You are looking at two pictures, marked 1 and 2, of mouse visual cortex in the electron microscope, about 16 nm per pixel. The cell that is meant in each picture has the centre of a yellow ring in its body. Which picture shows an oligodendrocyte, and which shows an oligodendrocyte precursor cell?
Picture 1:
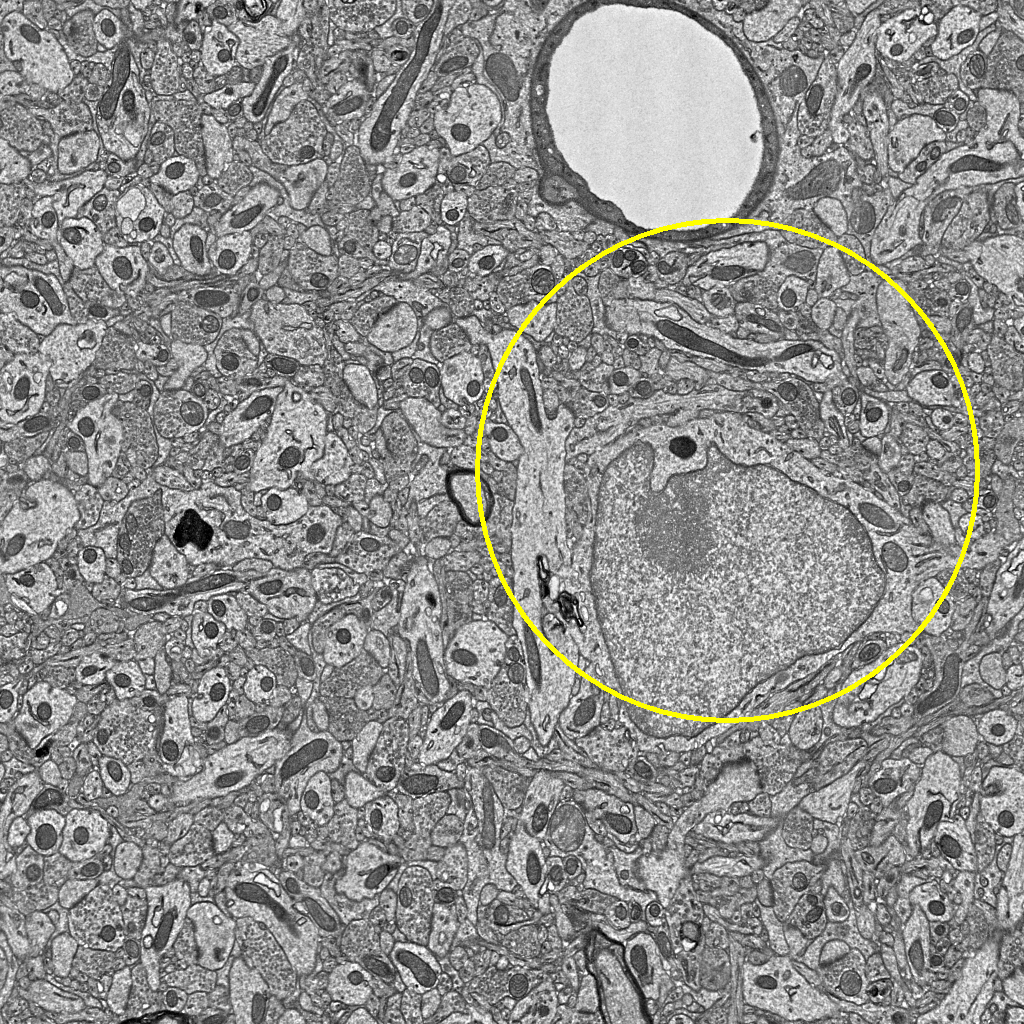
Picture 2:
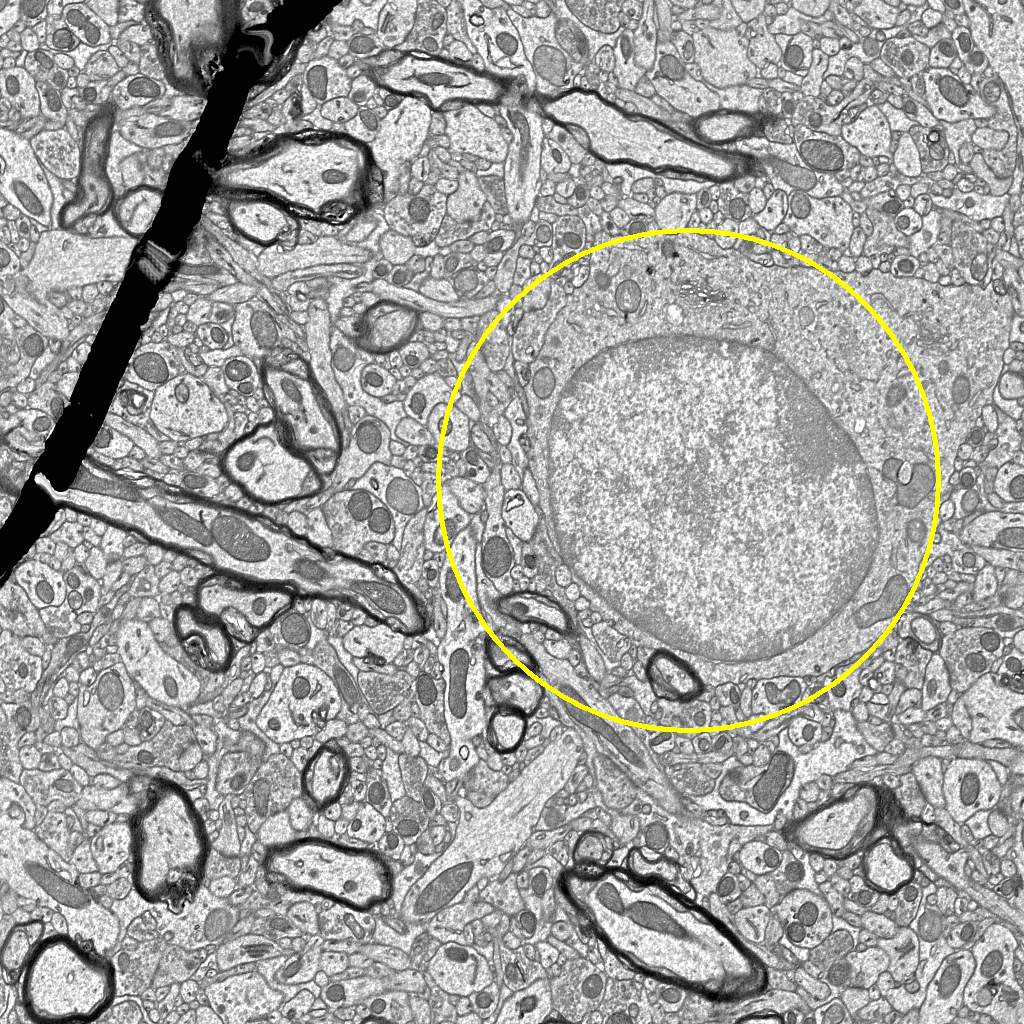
Picture 1 shows an oligodendrocyte precursor cell and picture 2 shows an oligodendrocyte.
